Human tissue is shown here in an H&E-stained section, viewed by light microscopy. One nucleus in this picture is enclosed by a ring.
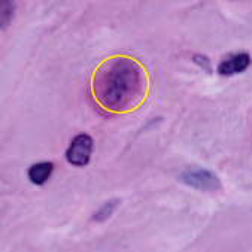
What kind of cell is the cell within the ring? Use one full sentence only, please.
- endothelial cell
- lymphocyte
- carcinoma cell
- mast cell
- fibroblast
In the context of this tissue, the cell within the ring is a mast cell.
